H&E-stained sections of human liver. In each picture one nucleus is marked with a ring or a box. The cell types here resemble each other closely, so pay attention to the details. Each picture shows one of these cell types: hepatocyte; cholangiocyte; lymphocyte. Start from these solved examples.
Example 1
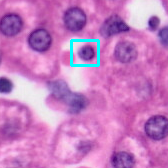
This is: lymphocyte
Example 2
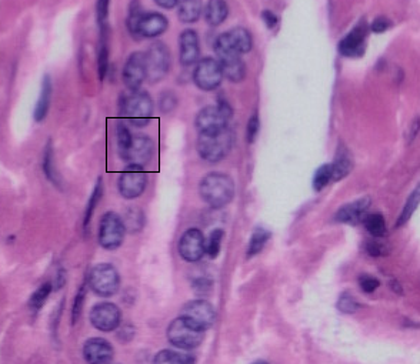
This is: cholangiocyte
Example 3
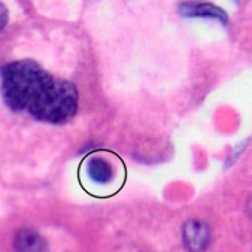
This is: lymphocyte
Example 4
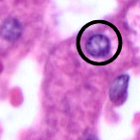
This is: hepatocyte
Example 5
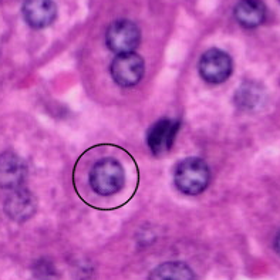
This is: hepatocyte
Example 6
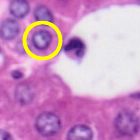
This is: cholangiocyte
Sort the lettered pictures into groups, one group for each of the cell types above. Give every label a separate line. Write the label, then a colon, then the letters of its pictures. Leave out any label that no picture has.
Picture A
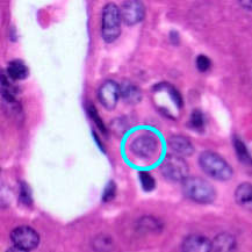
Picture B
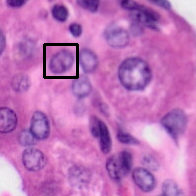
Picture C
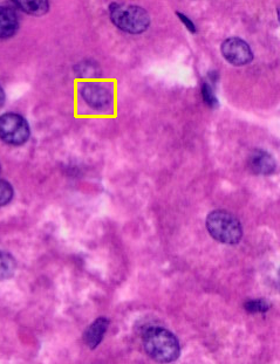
hepatocyte: C
cholangiocyte: A, B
